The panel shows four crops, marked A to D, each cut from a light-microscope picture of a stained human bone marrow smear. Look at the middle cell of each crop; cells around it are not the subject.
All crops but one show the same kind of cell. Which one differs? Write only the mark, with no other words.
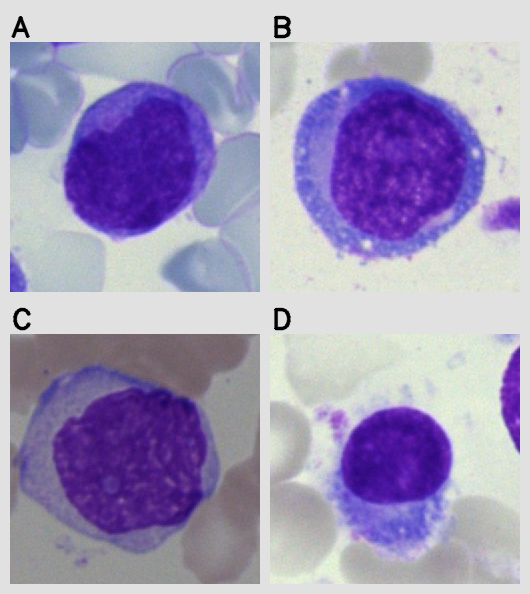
D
